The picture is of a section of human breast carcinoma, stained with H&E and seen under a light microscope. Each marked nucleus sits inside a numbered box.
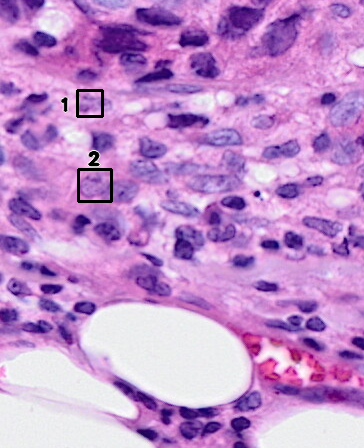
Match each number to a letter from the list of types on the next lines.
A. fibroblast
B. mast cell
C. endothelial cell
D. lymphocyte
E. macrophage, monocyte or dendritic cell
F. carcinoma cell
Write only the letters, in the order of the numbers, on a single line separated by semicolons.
E; C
